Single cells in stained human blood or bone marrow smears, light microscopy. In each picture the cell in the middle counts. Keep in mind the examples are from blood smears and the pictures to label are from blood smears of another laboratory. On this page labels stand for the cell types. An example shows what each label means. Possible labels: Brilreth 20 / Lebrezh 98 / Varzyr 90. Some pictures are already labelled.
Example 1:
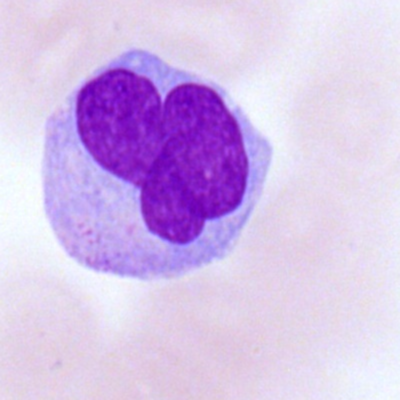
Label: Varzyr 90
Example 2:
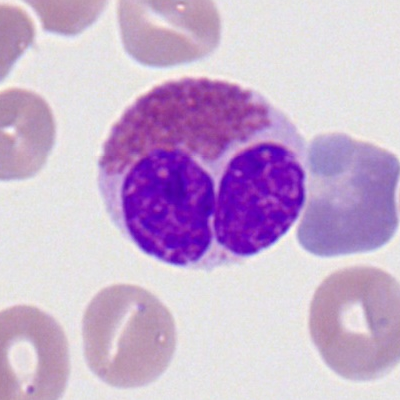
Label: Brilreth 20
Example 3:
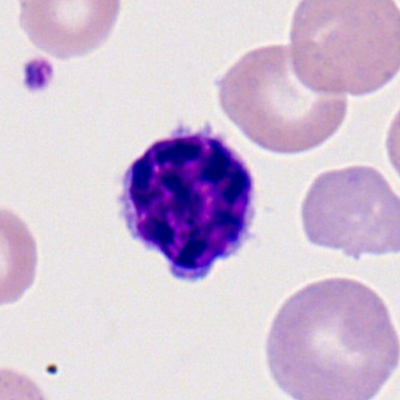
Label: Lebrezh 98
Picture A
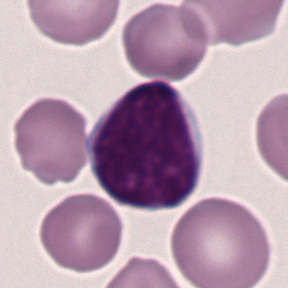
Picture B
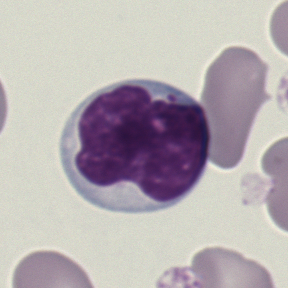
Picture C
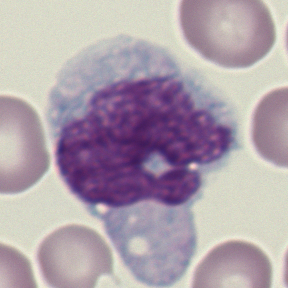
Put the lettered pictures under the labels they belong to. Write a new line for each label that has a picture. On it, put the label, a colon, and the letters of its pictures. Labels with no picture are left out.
Lebrezh 98: A, B
Varzyr 90: C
